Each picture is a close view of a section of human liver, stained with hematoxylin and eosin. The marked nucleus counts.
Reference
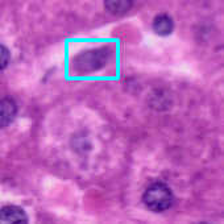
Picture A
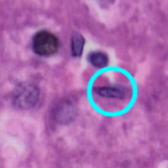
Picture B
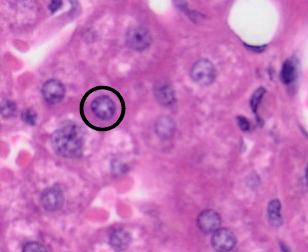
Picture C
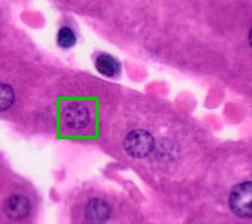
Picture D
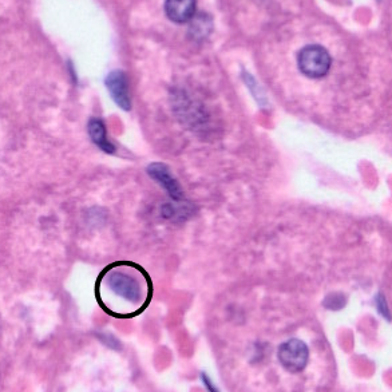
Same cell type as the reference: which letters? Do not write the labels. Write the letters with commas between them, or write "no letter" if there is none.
D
